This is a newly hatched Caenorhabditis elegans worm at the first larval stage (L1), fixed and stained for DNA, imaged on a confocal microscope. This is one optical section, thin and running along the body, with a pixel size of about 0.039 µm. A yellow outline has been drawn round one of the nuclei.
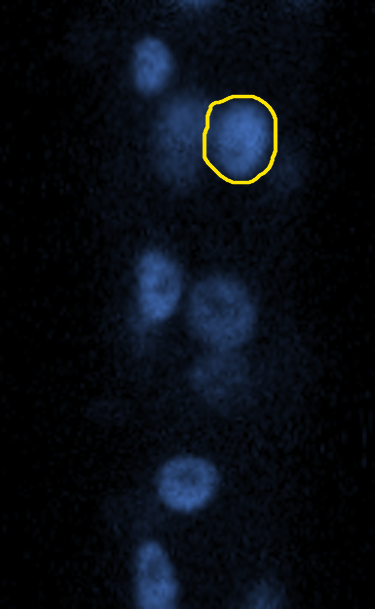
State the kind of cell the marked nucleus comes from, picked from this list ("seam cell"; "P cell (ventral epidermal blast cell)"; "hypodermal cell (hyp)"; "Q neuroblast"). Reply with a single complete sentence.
This is the nucleus of a Q neuroblast.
